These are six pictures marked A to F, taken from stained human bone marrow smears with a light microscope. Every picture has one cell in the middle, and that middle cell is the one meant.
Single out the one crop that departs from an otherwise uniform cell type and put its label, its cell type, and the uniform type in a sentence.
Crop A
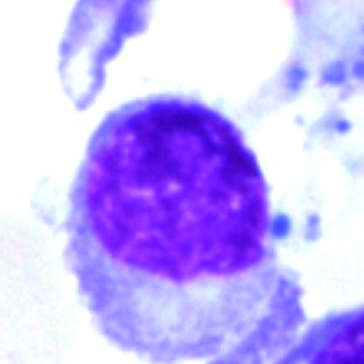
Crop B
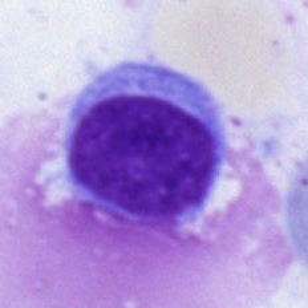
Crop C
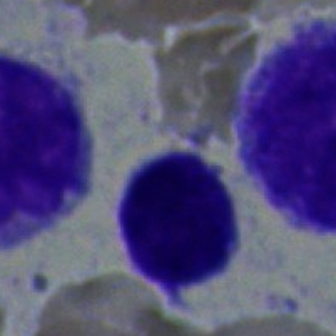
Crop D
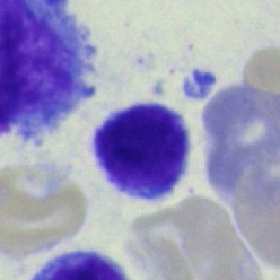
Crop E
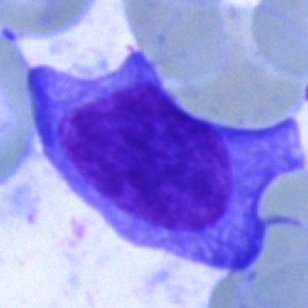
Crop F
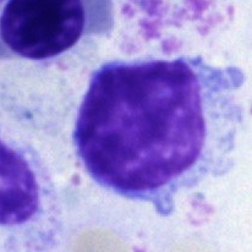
Crop E is the only crop with a plasma cell, the others all showing lymphocytes.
